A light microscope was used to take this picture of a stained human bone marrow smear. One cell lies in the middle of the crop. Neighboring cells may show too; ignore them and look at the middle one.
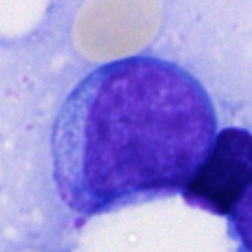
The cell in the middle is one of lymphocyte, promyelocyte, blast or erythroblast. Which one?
blast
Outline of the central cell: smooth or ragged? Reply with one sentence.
The membrane contour is even and smooth, with nothing projecting from it.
